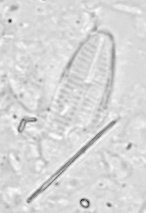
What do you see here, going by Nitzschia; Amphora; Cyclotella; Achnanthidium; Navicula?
I see Achnanthidium.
